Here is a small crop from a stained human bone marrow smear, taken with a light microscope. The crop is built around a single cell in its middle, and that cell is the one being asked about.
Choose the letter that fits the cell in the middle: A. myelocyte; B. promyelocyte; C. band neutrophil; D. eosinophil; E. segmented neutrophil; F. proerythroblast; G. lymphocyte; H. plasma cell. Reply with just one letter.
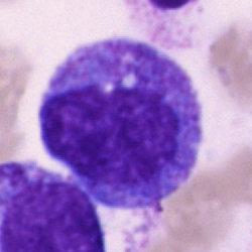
B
